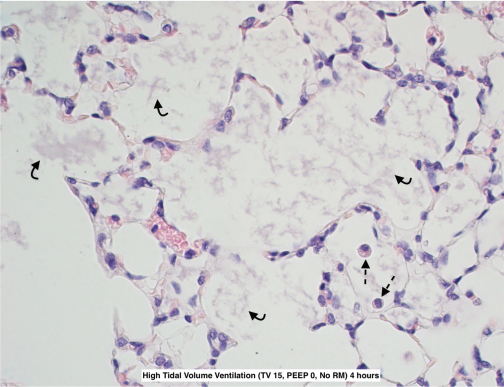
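This is lung tissue in which the air spaces are filled with pale pink, wispy, amorphous material between the alveolar walls. The walls are thin pink strands with dark purple nuclei, and in places they appear thickened or crowded with cells. The pink material has no nuclei and no cell borders, so it is proteinaceous debris rather than cells. Near the lower part of the field a couple of rounded free cells with round nuclei and pink cytoplasm lie in an air space, consistent with macrophages. A small cluster of red blood cells sits within one of the walls.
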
